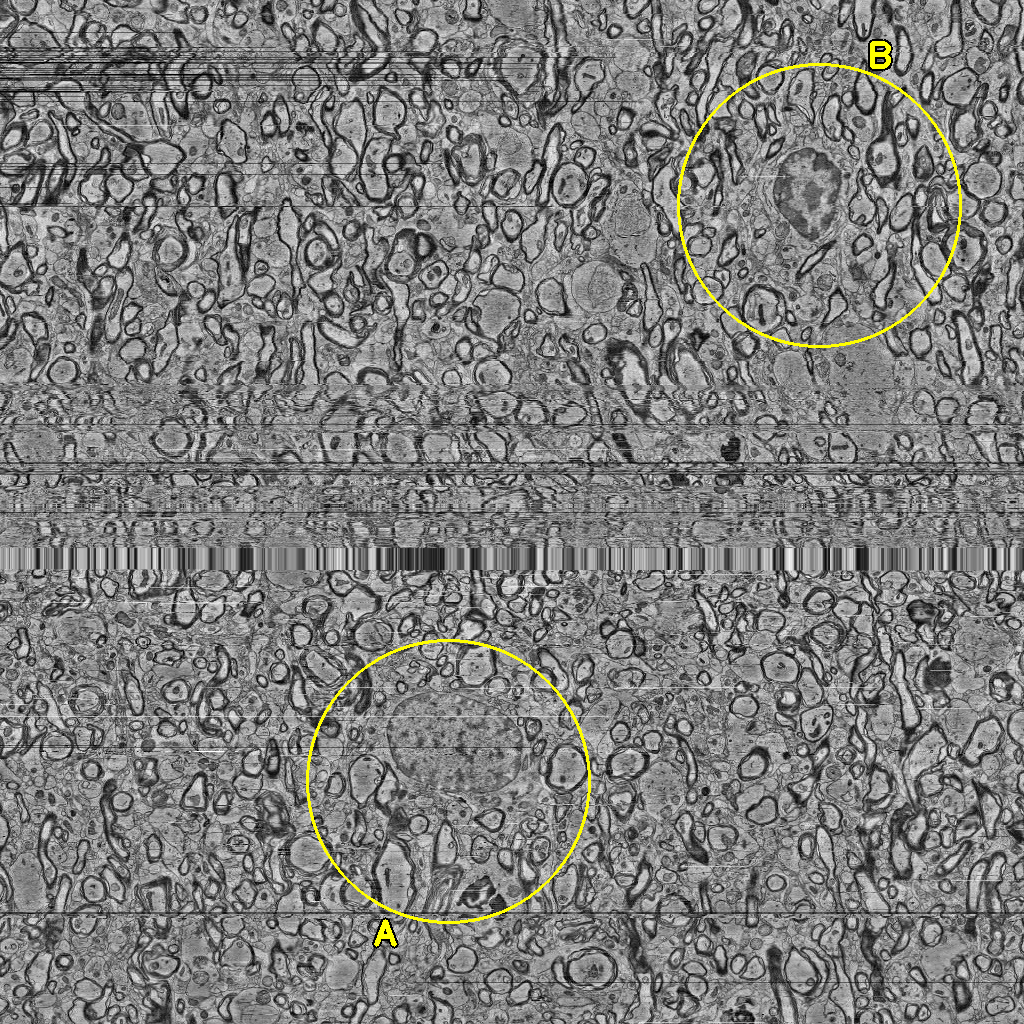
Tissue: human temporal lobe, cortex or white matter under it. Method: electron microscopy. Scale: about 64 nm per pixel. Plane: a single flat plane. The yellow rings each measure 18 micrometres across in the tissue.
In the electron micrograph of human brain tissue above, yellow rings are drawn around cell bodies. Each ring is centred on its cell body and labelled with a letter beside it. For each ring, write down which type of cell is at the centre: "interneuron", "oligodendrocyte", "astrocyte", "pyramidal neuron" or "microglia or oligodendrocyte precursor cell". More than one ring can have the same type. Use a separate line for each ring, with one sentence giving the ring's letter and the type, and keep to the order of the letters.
At the centre of ring A there is an oligodendrocyte.
At the centre of ring B there is a microglial cell or oligodendrocyte precursor cell.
